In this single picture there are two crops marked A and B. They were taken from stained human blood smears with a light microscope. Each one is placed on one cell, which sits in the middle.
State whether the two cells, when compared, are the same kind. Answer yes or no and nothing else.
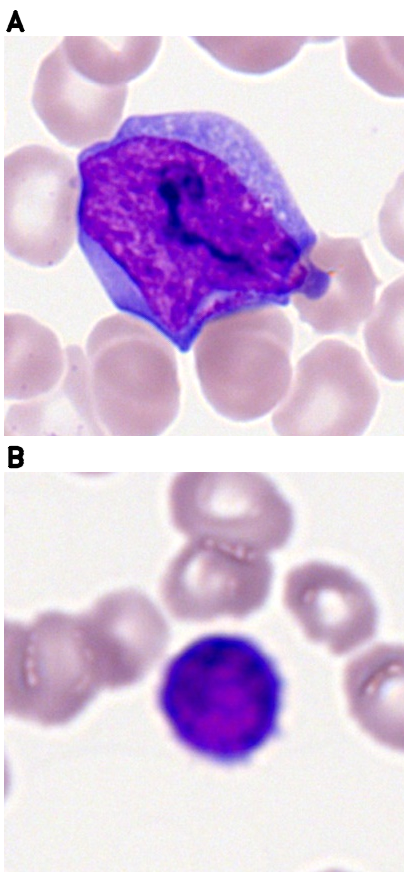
no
